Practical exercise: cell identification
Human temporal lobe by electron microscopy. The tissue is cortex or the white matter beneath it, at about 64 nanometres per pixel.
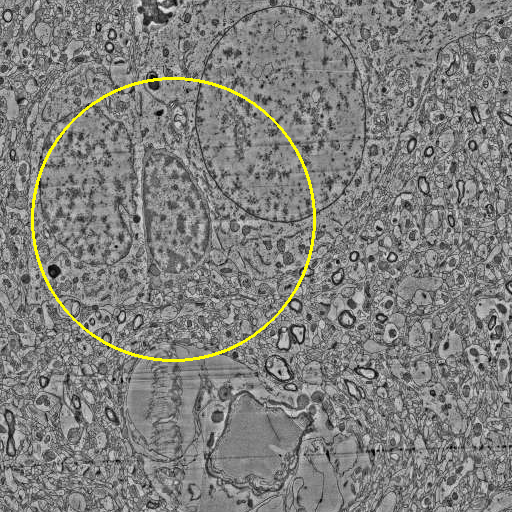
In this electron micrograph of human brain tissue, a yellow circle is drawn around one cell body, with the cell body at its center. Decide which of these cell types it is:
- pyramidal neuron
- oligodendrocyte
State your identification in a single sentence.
The ringed cell is an oligodendrocyte.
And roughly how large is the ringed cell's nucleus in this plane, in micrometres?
About 8 by 4 micrometers in this plane, so the nucleus is clearly longer than it is wide.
